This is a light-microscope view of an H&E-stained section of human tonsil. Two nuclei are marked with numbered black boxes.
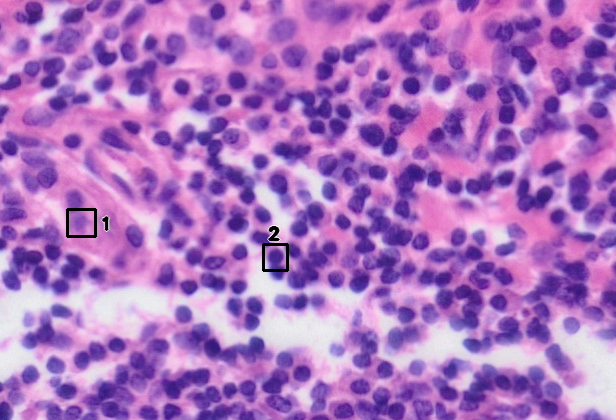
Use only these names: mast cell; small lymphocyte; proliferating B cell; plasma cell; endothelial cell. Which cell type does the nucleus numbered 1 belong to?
endothelial cell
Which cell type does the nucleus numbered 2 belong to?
small lymphocyte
